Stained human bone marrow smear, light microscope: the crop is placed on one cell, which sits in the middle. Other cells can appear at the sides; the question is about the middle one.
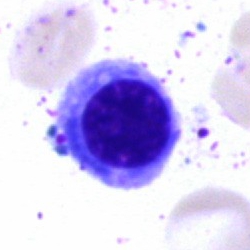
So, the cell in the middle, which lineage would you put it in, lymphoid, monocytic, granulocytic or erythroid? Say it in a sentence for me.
The correct lineage for the cell at the center is the erythroid one.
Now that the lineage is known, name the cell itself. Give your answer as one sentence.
The cell at the middle of the crop is recognized as an erythroblast.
